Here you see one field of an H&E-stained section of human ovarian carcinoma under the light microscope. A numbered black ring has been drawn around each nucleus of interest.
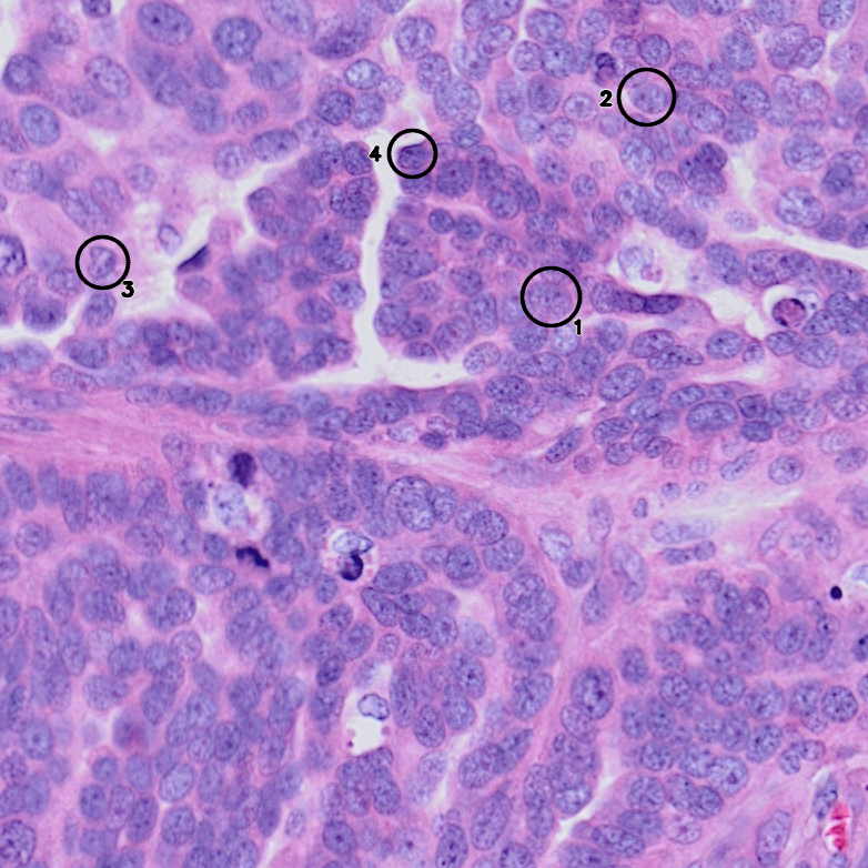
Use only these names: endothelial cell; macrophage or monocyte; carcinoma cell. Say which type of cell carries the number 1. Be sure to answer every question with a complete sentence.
The cell that is numbered 1 is a carcinoma cell.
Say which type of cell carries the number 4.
Marked with the number 4, this cell is a carcinoma cell.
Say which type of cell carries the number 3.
The nucleus marked 3 is the nucleus of a macrophage or monocyte.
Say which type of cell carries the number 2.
The nucleus labeled 2 belongs to a carcinoma cell.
